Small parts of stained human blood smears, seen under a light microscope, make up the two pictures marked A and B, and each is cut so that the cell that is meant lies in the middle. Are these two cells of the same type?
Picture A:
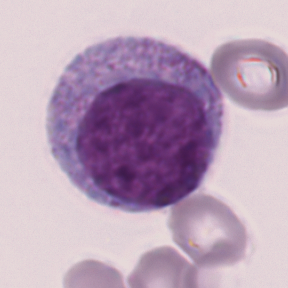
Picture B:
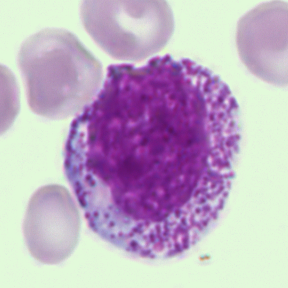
no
